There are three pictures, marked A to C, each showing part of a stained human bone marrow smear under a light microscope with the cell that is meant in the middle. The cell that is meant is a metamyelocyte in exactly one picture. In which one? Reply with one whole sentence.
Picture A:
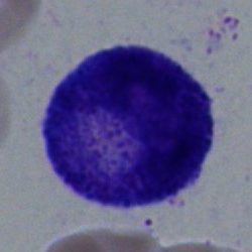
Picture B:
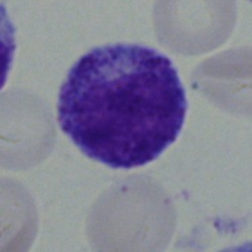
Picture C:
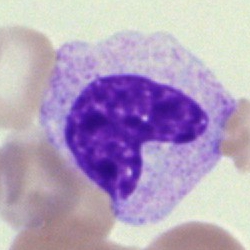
The metamyelocyte is the one in picture C.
